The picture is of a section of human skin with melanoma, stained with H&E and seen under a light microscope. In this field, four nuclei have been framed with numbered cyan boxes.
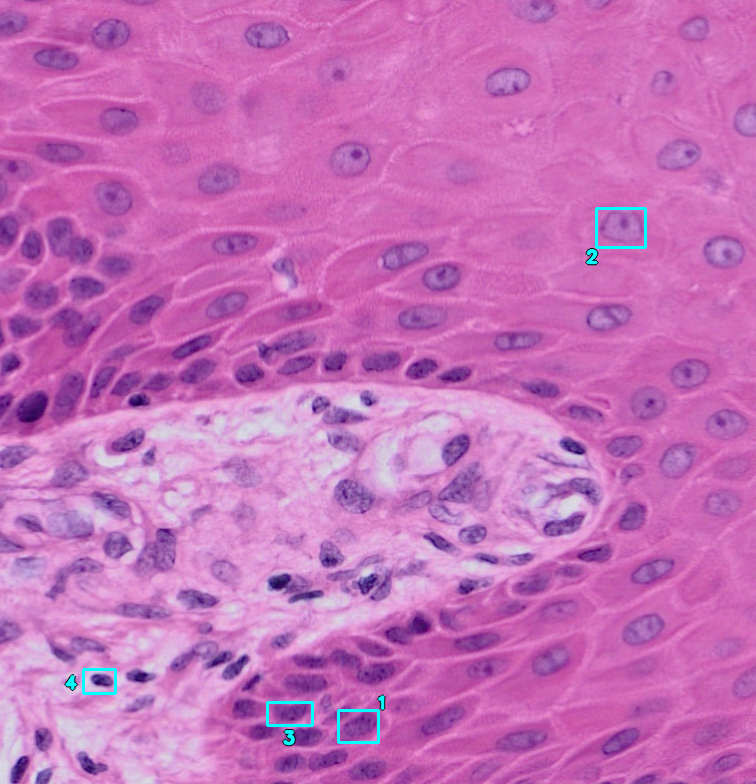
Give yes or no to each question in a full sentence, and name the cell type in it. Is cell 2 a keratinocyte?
Yes, on this slide, the cell with number 2 is a keratinocyte.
